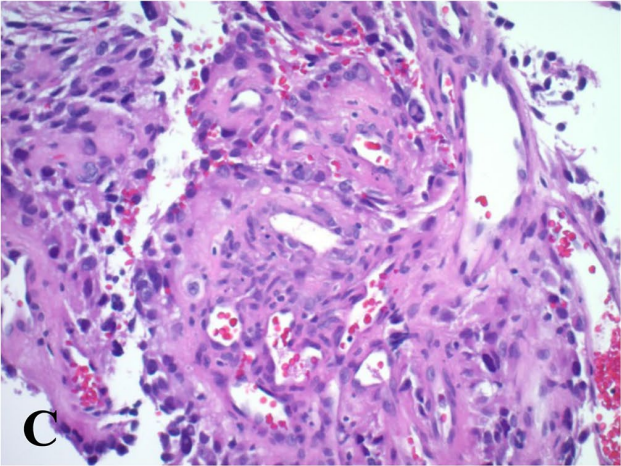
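This field shows tumor tissue packed with blood vessels, an example of vascular proliferation. Numerous small channels, many containing red blood cells, lie close together, and their walls are lined and surrounded by plump cells with enlarged, dark, oval nuclei rather than thin flat lining cells. Some vessels appear as rounded clusters of thickened walls with small lumens. Between the vessels are tumor cells with pink cytoplasm and irregular nuclei, and red blood cells are scattered in the spaces between tissue fragments.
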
